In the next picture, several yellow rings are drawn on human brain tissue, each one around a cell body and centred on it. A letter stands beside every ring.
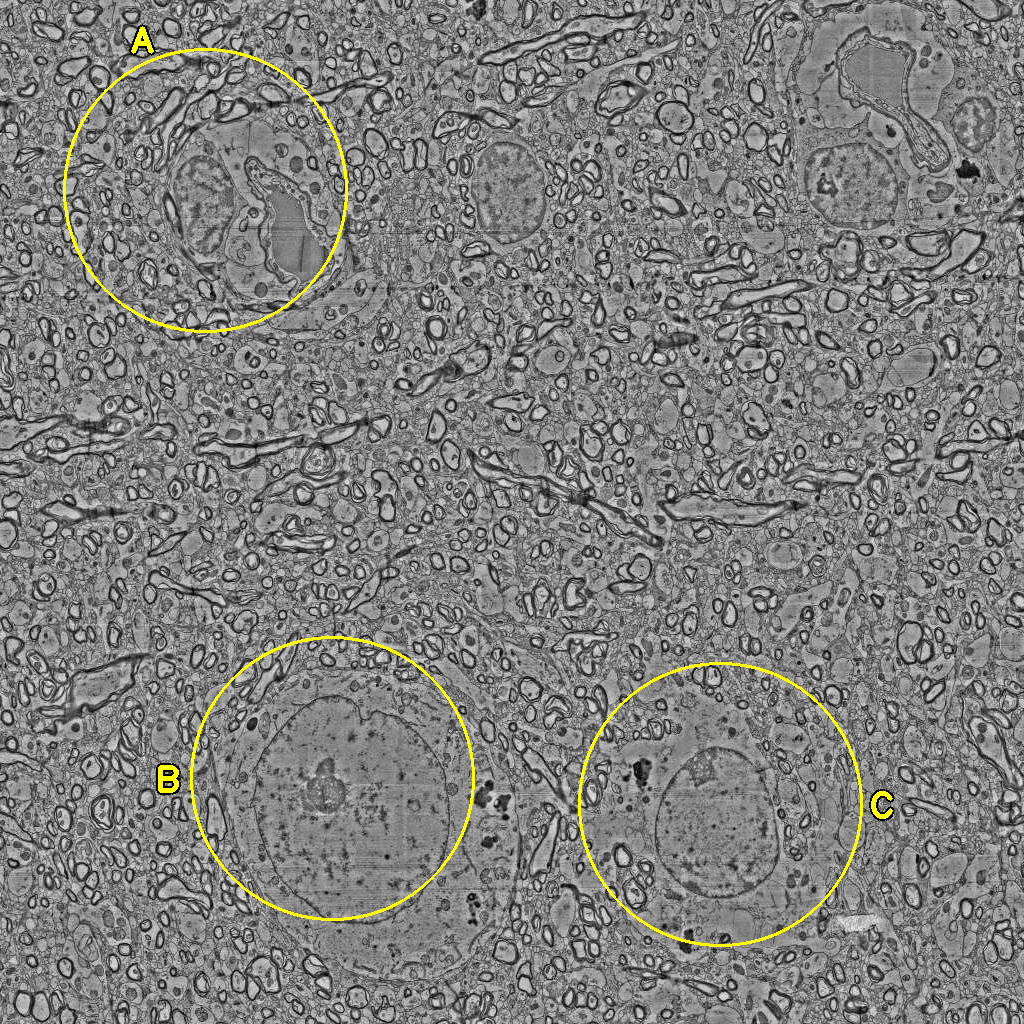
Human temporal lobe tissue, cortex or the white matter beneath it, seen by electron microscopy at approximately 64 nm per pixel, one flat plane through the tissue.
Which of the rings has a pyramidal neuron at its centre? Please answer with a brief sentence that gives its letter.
Ring B has it at its centre.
